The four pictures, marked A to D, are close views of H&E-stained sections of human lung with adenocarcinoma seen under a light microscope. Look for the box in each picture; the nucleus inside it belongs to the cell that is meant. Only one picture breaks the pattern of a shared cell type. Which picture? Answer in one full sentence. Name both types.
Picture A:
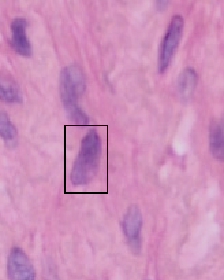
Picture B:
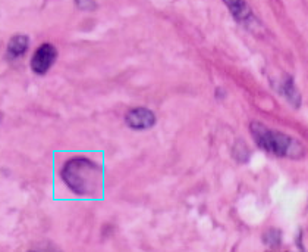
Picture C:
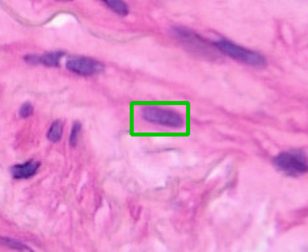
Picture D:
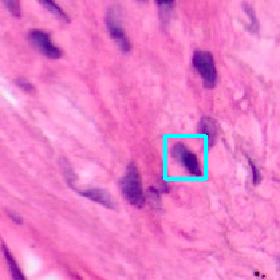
The different one is picture B; it shows a fibroblast, whereas all the others show “smooth muscle cells or pericytes”.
